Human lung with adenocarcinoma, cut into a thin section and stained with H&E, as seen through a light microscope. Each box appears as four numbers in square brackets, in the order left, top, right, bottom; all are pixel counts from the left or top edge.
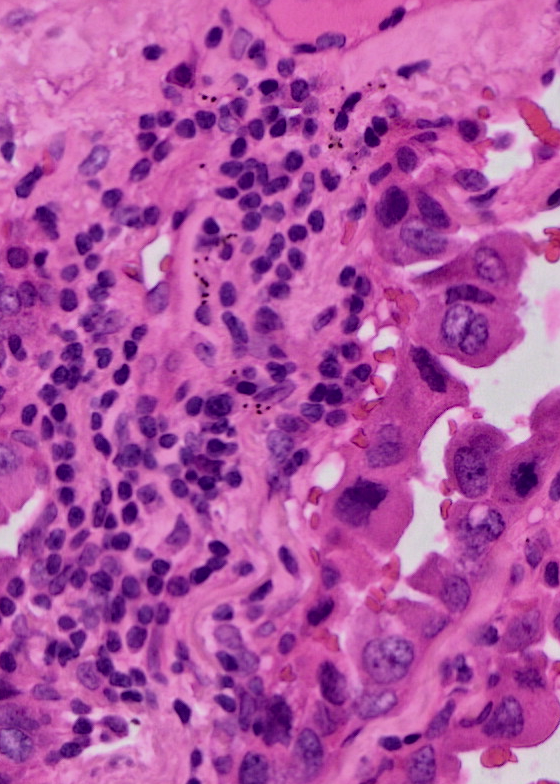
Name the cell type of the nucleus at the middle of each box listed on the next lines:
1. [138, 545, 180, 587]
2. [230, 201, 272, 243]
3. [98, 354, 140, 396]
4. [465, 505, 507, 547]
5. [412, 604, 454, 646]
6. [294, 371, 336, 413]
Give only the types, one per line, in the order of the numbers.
lymphocyte
lymphocyte
lymphocyte
carcinoma cell
carcinoma cell
lymphocyte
